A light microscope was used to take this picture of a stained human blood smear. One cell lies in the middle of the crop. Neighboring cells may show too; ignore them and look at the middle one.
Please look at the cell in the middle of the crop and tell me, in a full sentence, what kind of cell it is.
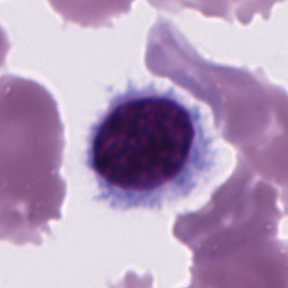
The crop's centre is taken up by a hairy cell.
